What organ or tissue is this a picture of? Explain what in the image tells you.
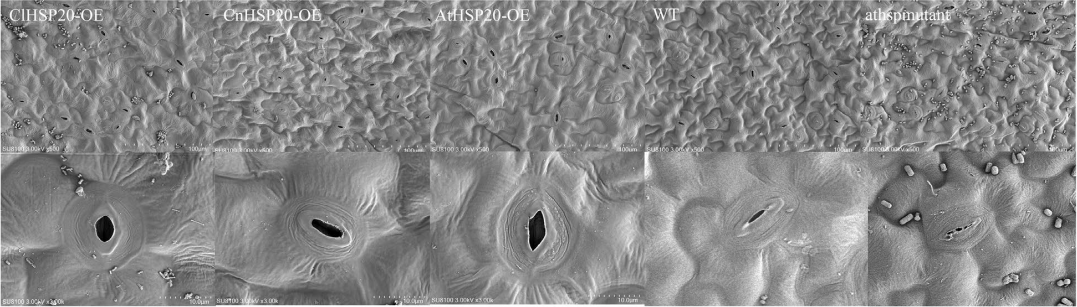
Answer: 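The surface is a pavement of wavy, jigsaw-like epidermal cells. Stomatal pores lie among the epidermal cells. The answer: leaves.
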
